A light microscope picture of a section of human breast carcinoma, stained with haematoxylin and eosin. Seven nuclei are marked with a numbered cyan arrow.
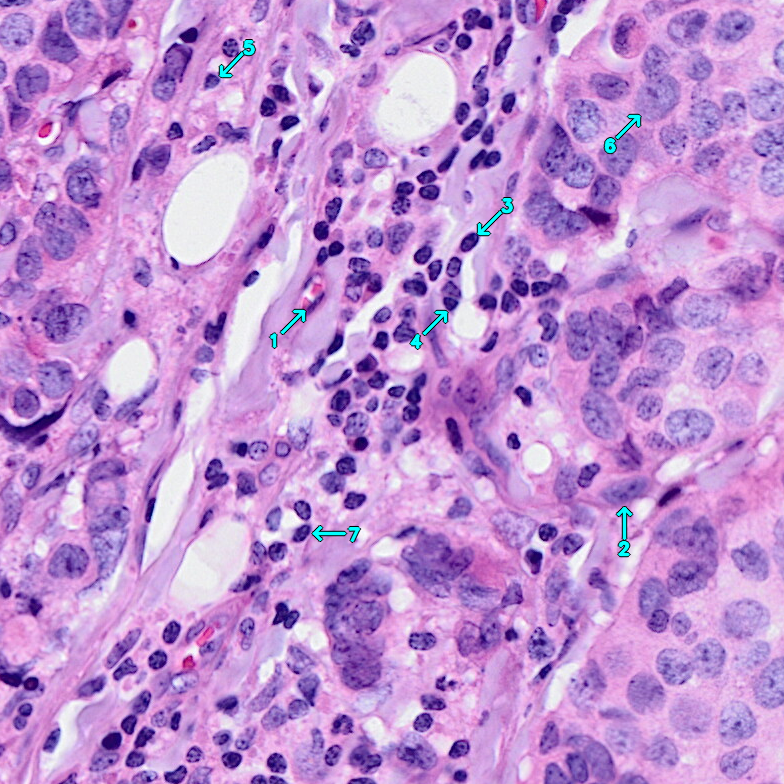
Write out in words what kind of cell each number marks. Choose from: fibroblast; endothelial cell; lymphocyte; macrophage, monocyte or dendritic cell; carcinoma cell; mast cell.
Cell 1 is an endothelial cell, cell 2 is an endothelial cell, cell 3 is a lymphocyte, cell 4 is a lymphocyte, cell 5 is a lymphocyte, cell 6 is a carcinoma cell and cell 7 is a lymphocyte.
